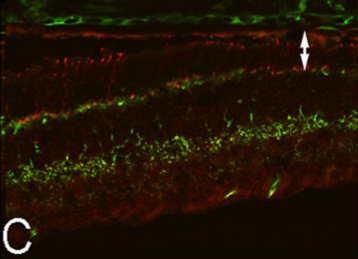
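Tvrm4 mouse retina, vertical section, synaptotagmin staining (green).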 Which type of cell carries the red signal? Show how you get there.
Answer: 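Cones. Red elongated profiles stand in a row in the outer part of the retina. The red profiles are short and slender, reaching toward the outer edge.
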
